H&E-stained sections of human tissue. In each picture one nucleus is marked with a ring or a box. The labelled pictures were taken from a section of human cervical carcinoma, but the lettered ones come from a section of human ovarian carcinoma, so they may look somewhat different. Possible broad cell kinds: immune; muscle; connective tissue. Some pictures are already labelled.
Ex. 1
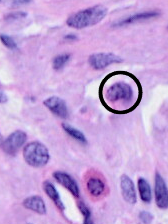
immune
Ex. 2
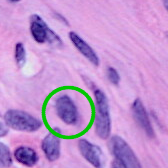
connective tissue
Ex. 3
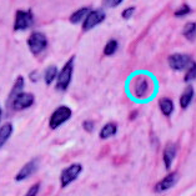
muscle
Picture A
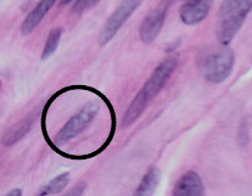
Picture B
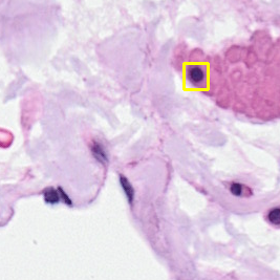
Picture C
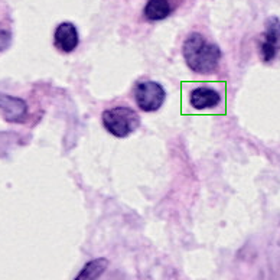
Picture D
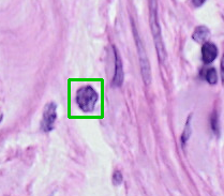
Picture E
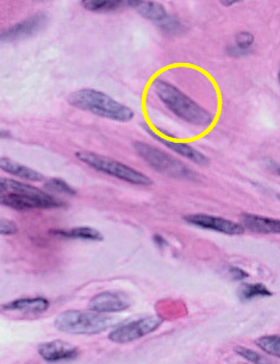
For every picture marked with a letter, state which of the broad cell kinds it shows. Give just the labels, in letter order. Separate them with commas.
muscle, muscle, immune, immune, muscle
